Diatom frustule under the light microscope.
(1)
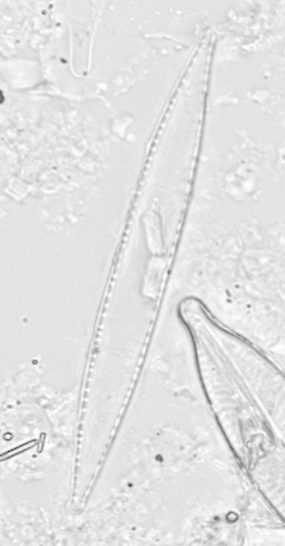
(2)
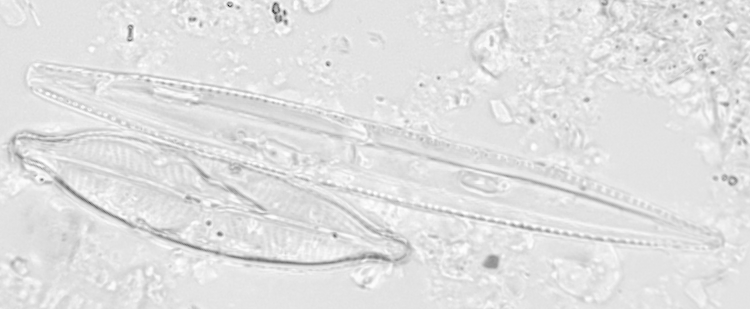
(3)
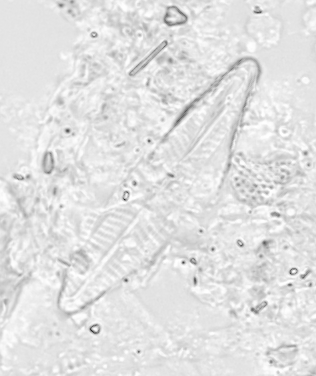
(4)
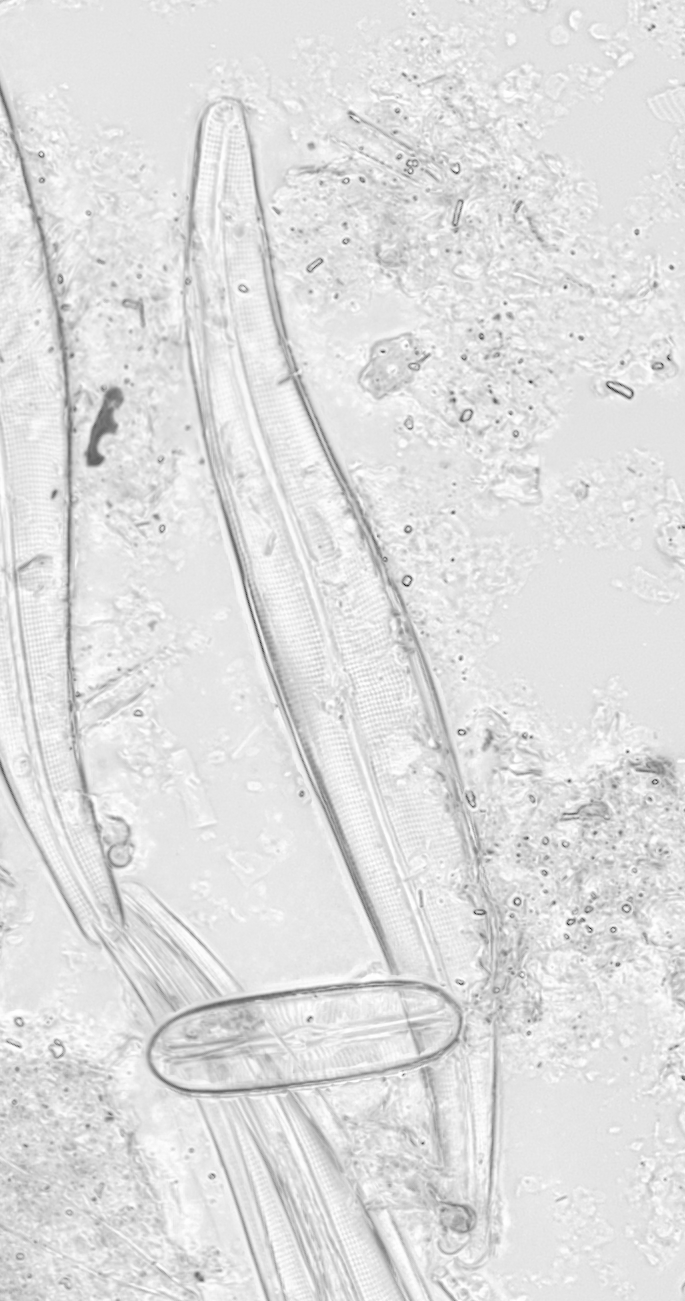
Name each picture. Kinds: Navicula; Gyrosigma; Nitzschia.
1: Nitzschia
2: Nitzschia
3: Navicula
4: Gyrosigma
